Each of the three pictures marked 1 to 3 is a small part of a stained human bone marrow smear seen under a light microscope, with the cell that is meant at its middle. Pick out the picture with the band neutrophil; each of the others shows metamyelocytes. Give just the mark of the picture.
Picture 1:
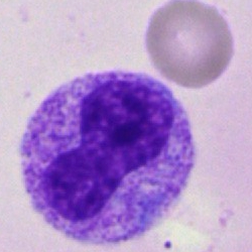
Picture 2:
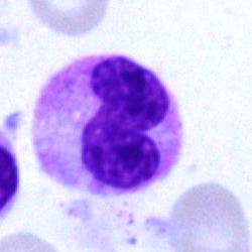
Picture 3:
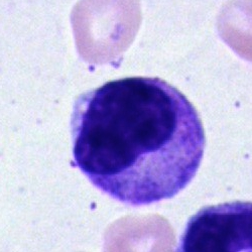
2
